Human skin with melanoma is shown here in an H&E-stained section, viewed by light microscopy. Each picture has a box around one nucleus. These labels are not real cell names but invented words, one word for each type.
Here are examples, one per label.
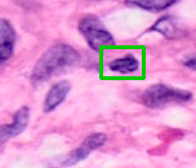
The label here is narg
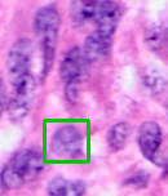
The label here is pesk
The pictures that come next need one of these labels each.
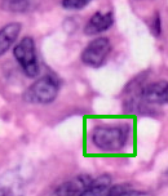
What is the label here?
pesk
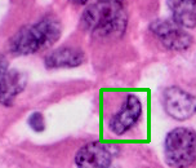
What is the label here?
pesk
